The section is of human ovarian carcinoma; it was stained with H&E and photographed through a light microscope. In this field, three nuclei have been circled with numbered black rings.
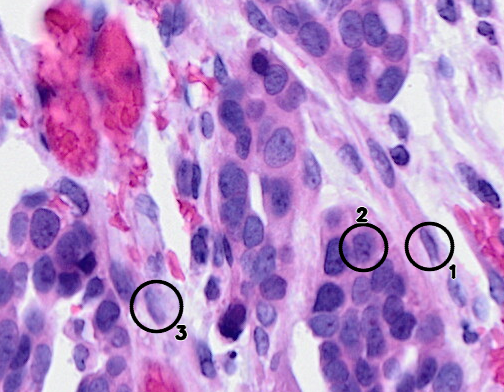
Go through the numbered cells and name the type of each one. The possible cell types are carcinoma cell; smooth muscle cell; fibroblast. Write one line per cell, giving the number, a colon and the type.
1: fibroblast
2: carcinoma cell
3: fibroblast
